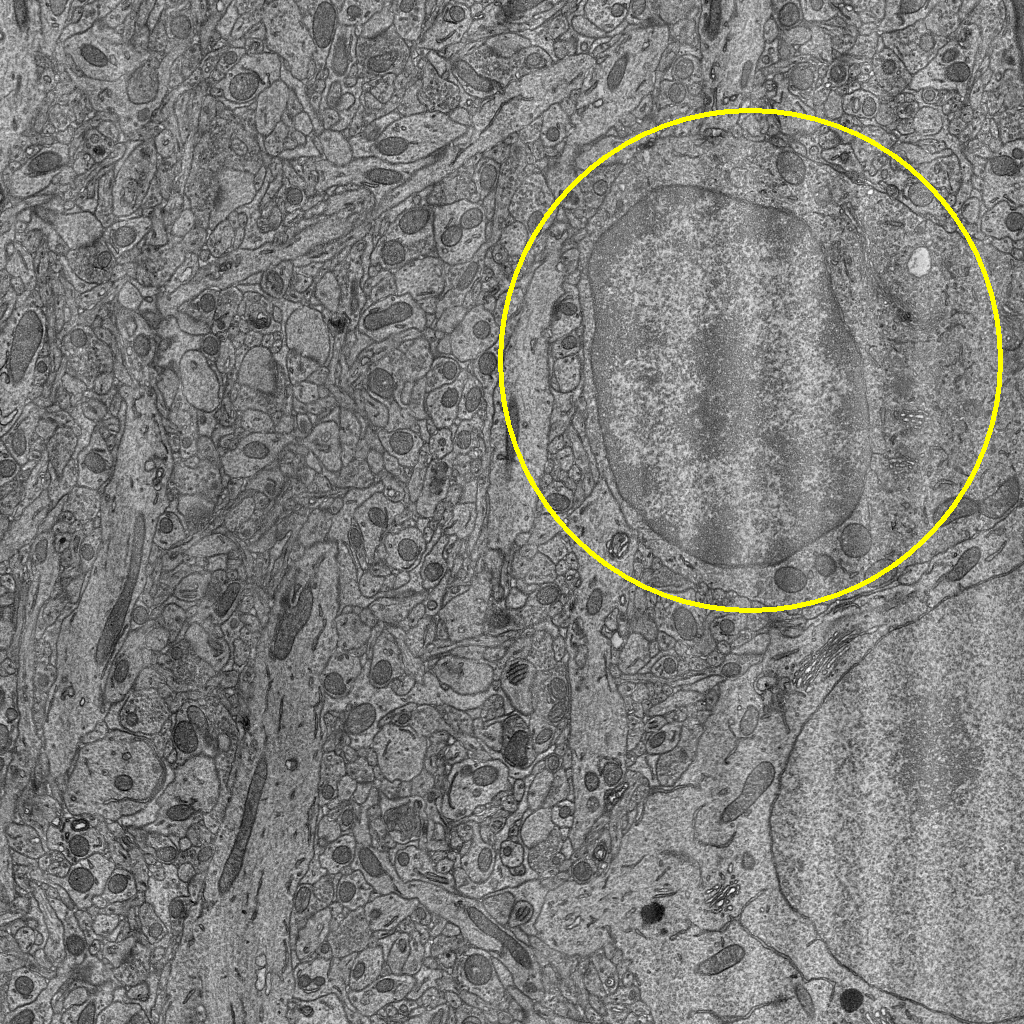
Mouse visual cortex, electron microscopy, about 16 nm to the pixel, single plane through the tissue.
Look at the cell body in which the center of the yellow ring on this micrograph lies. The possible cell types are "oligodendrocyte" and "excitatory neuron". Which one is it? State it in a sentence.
The cell at the middle of the ring is an oligodendrocyte.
